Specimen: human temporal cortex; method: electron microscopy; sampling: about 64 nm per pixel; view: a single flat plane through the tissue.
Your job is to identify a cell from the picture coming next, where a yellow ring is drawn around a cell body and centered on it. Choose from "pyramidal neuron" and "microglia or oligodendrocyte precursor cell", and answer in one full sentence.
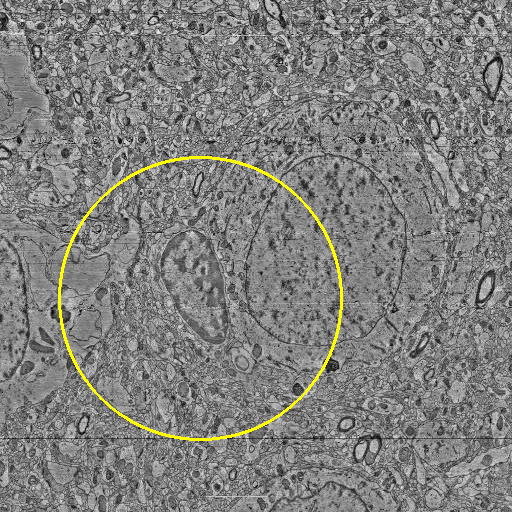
Centered in the yellow ring of the picture is the body of a microglial cell or oligodendrocyte precursor cell.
